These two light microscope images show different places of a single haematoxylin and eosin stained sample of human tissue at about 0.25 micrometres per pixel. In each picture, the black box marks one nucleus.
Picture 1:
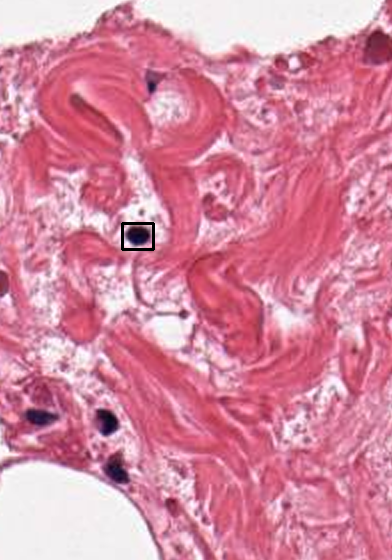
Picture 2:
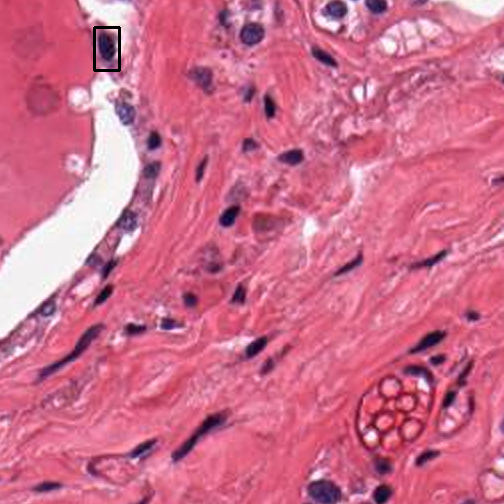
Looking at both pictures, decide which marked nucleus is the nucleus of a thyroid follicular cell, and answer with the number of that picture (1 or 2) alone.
2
